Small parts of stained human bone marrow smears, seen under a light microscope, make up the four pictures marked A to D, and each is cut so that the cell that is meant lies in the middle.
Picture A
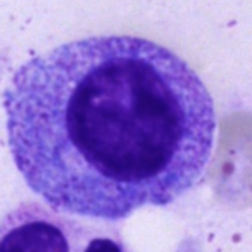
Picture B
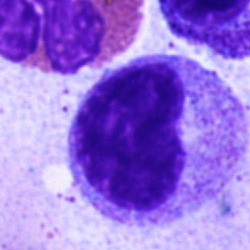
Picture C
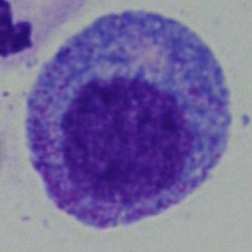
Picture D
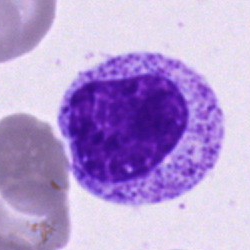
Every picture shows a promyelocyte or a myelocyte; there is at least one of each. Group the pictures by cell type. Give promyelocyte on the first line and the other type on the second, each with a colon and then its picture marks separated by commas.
promyelocyte: A, C
myelocyte: B, D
